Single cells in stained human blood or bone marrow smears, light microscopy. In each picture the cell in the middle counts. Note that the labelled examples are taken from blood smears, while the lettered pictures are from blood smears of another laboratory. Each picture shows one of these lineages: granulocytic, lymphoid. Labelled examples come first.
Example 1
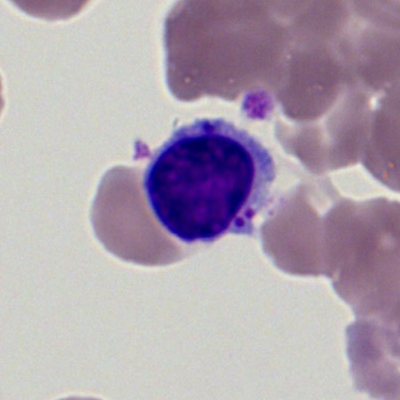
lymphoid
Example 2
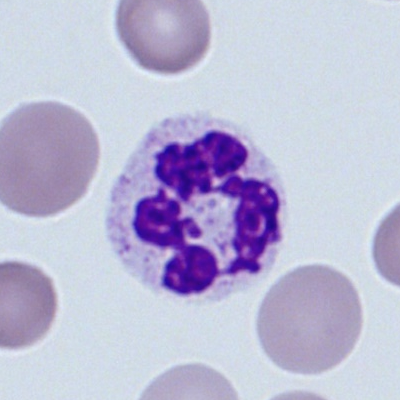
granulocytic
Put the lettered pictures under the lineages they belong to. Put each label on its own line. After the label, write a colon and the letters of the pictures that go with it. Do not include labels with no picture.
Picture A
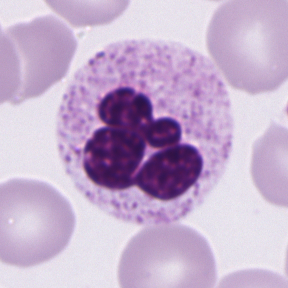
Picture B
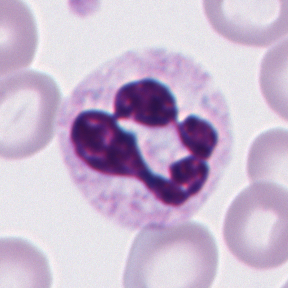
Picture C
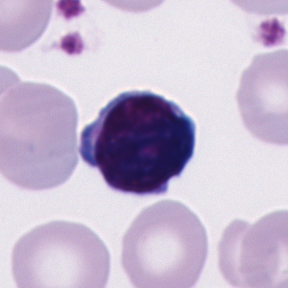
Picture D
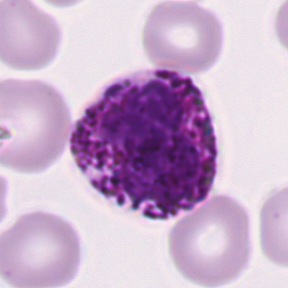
granulocytic: A, B, D
lymphoid: C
